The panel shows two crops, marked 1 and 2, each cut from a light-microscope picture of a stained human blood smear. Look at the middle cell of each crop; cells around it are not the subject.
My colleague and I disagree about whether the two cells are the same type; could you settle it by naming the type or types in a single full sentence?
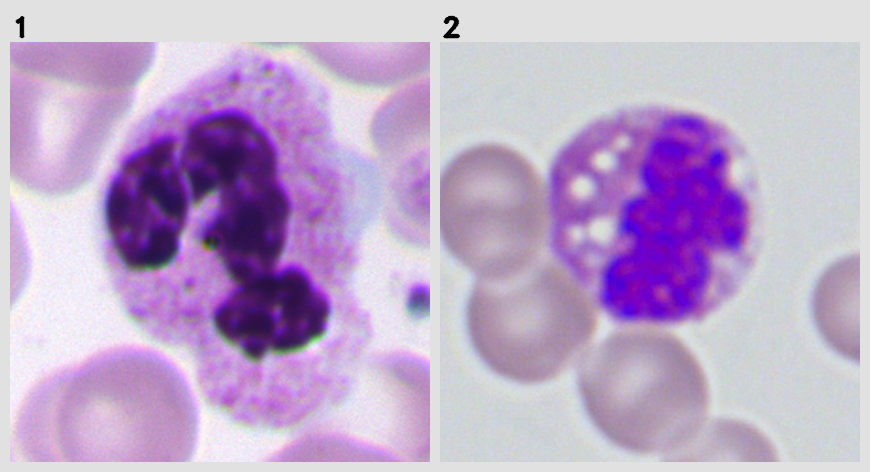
No, it is a segmented neutrophil that crop 1 shows, and an eosinophil that crop 2 shows.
